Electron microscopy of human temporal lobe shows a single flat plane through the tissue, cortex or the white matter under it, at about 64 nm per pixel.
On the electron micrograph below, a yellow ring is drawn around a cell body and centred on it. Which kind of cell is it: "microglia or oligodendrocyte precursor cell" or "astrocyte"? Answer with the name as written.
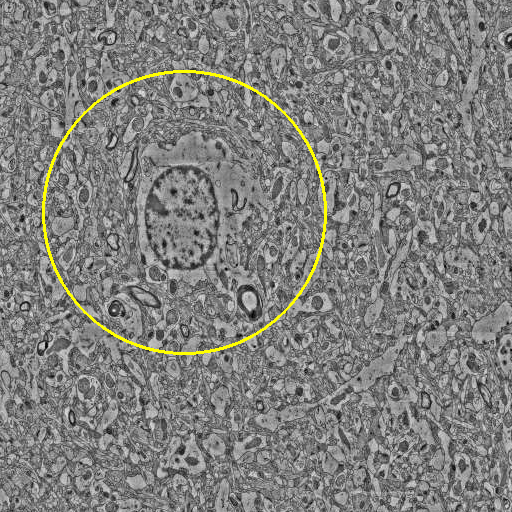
astrocyte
